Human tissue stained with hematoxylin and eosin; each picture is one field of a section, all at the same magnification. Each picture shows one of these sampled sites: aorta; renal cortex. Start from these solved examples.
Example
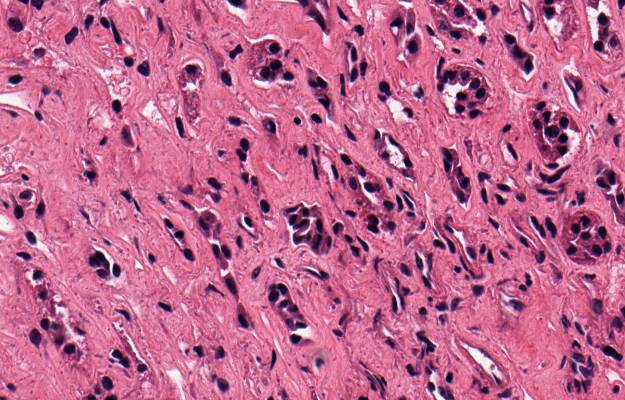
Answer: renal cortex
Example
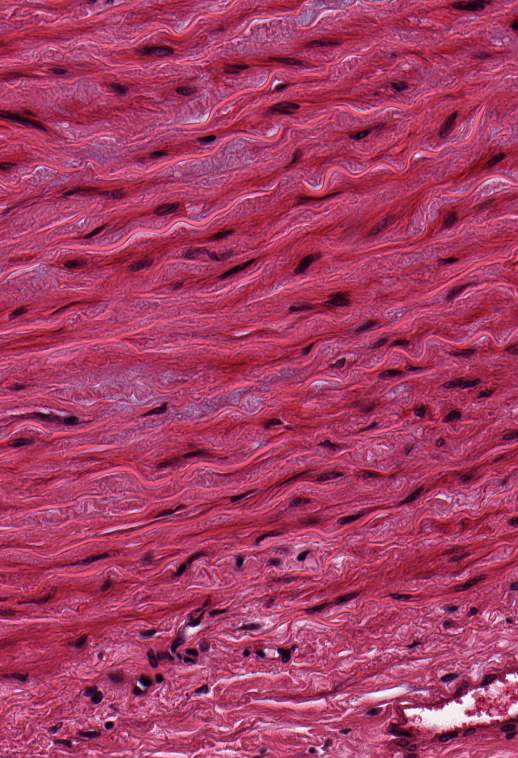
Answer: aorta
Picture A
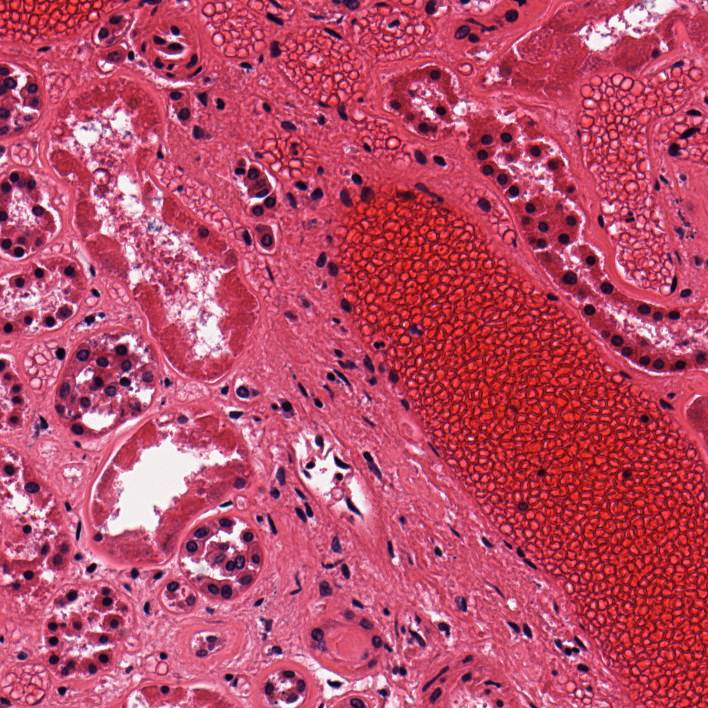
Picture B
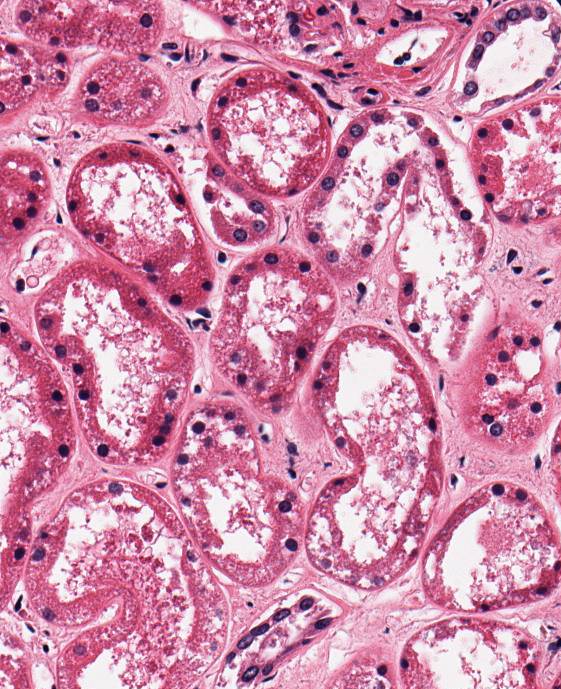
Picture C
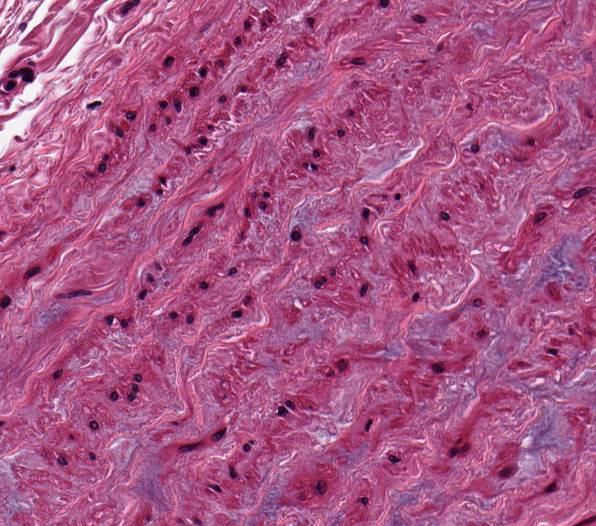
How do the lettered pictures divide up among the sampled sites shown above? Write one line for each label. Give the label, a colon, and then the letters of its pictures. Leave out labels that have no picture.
aorta: C
renal cortex: A, B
